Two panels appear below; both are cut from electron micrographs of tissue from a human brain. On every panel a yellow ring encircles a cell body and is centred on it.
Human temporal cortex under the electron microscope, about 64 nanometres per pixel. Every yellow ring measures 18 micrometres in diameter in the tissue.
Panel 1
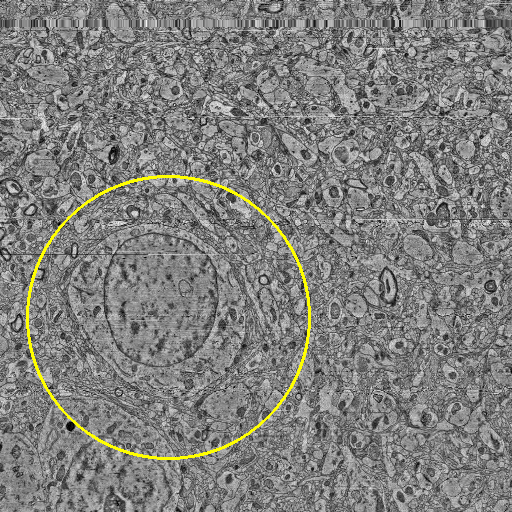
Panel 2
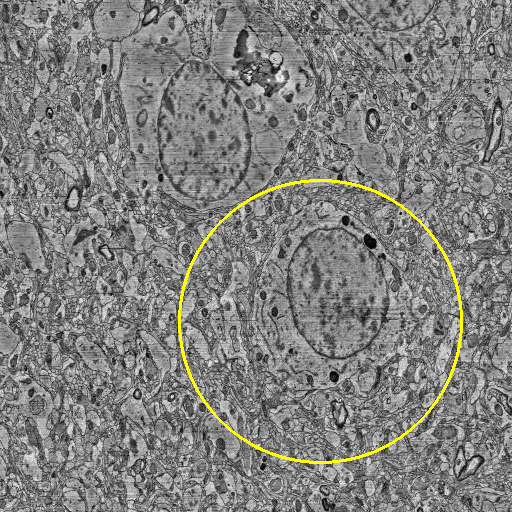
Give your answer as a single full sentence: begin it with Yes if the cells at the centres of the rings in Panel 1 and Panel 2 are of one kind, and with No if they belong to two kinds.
Yes, the cells in the middle of the rings in Panels 1 and 2 are of one kind.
